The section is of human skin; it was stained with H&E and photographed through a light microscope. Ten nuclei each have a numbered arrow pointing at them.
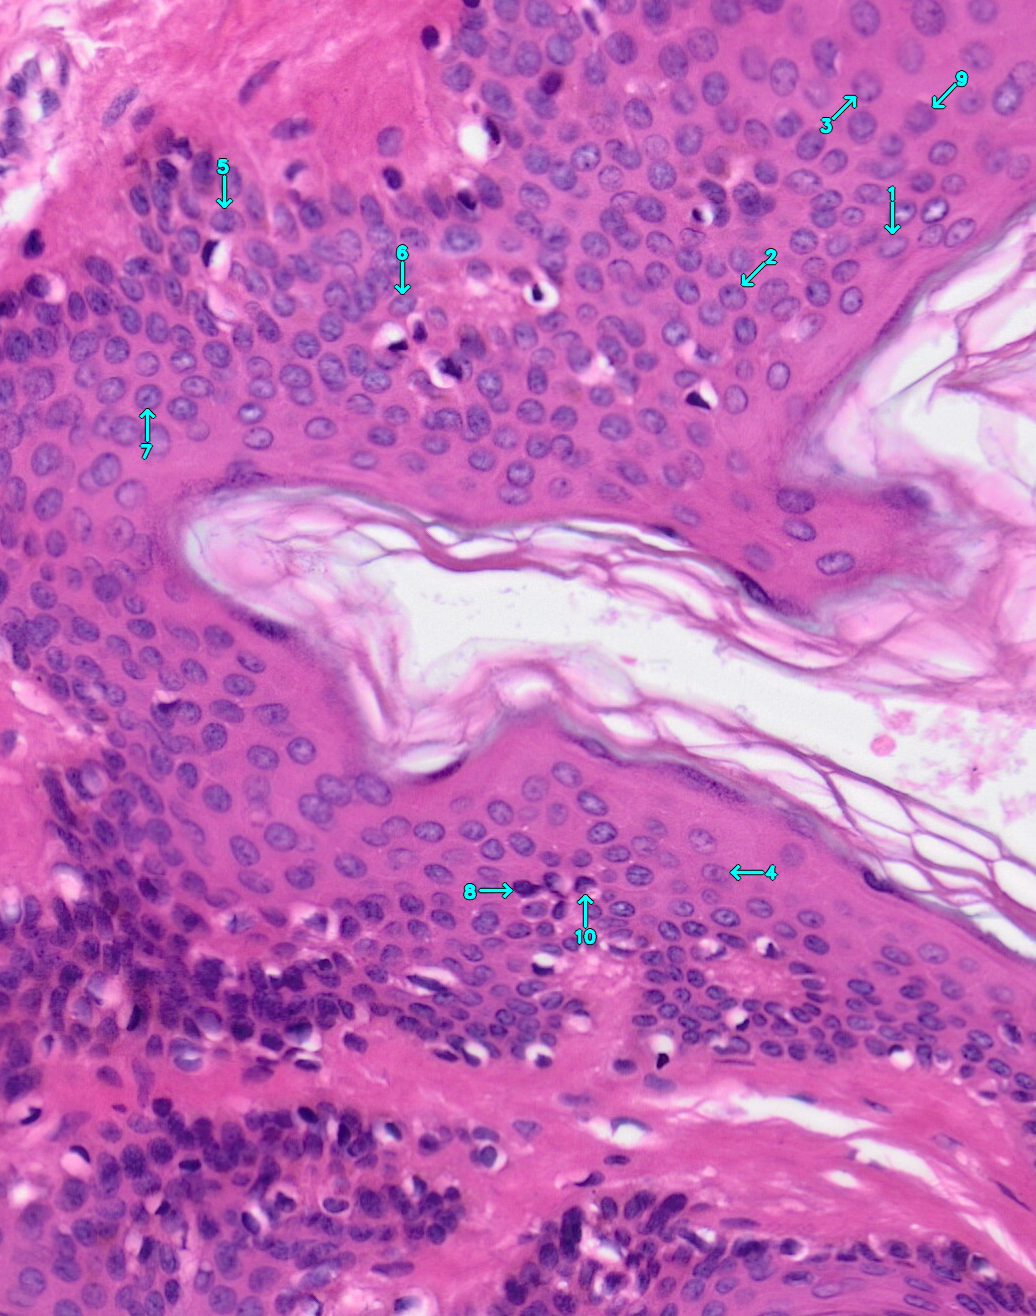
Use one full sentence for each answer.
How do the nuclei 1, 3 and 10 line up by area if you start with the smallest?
By area, going up from the smallest, they rank 10, 1, 3.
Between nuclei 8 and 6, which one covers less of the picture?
The smaller nucleus is 8, and 6 covers roughly 1.5 times its area.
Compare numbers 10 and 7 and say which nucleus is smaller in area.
Number 10 is smaller, since number 7 takes up about 1.5 times as much area.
